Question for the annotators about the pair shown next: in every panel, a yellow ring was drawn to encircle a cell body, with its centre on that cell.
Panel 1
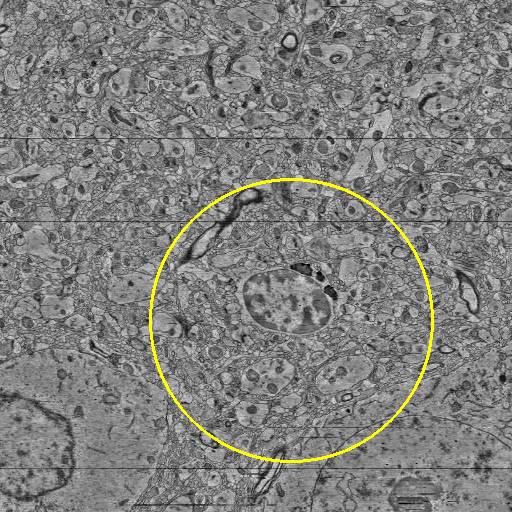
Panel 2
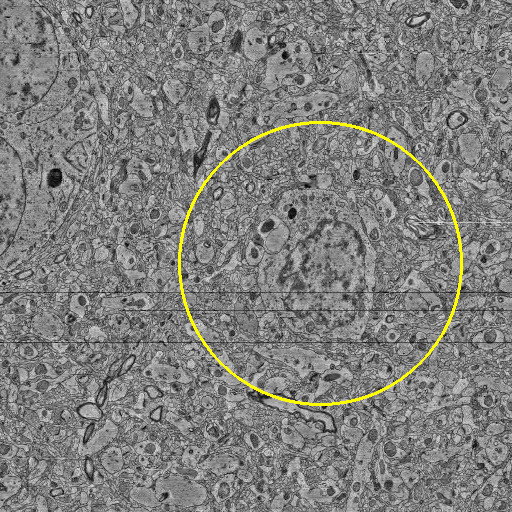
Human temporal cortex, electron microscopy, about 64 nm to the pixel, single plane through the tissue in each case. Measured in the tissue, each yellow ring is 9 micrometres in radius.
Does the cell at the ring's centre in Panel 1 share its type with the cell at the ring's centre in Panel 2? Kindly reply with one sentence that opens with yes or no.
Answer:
No, in Panels 1 and 2 the cells at the ring centres belong to separate types.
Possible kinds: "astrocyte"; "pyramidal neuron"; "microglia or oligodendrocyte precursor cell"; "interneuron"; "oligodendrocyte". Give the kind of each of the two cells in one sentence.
The cell in the second picture is an interneuron, and that in the first is a microglial cell or oligodendrocyte precursor cell.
